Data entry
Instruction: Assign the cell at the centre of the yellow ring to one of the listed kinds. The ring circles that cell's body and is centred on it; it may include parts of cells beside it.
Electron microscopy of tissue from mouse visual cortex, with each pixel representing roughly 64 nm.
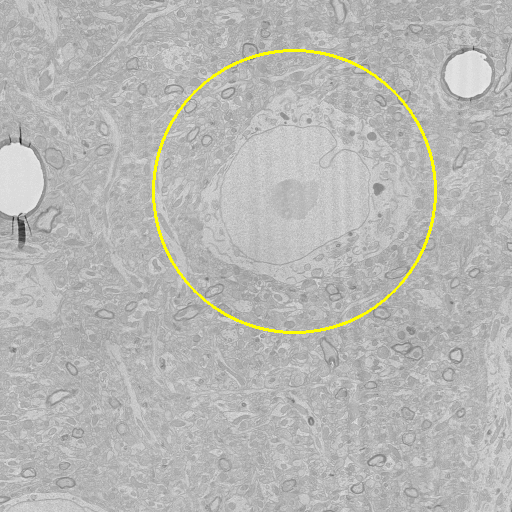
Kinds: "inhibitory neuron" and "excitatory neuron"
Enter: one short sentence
The centre of the ring falls on an excitatory neuron.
